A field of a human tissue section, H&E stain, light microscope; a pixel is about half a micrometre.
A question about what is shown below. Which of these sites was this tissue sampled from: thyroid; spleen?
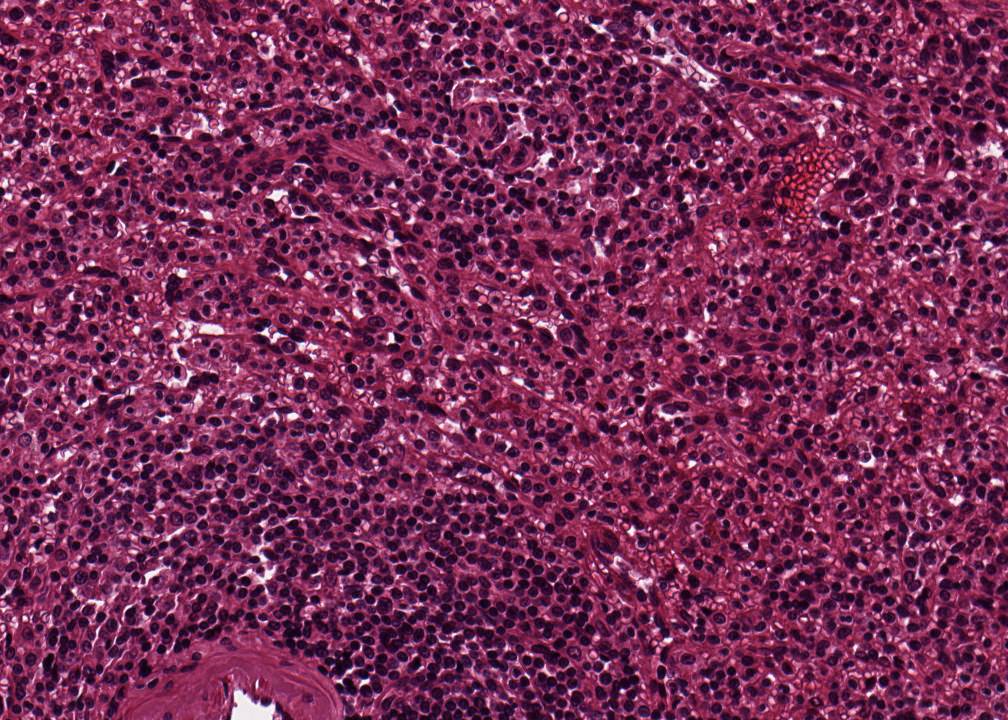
spleen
